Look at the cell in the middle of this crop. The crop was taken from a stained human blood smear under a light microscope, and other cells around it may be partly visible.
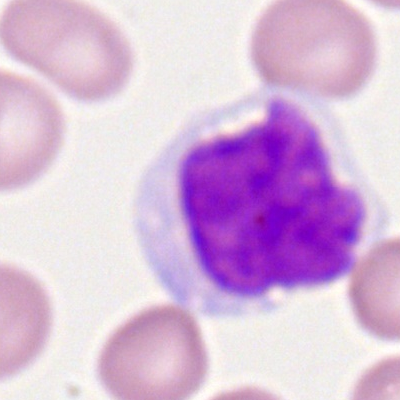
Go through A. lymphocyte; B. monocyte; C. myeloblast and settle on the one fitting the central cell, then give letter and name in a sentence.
The central cell in this crop is a monocyte, corresponding to option B, the correct option.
